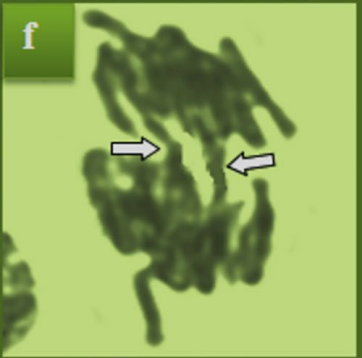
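This is a dividing cell late in division, with its chromosomes pulled into two groups, one above and one below. The chromosomes are dark, elongated rods, many of them bent, and they crowd together in each group. Between the two groups a thin strand of chromatin runs across the middle, joining them instead of letting them come cleanly apart.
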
